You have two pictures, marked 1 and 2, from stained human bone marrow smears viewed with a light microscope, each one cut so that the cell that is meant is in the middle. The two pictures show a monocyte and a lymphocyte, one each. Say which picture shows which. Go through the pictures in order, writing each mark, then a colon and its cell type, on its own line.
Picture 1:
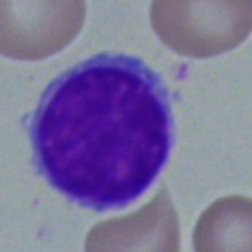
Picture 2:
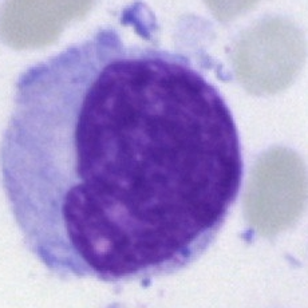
1: lymphocyte
2: monocyte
